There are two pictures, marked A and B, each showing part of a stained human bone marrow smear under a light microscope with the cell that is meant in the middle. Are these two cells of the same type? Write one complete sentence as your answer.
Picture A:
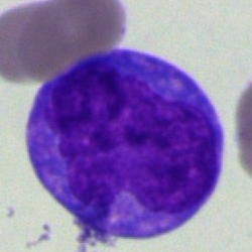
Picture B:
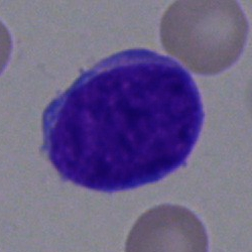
Yes, they are the same type: both are blasts.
